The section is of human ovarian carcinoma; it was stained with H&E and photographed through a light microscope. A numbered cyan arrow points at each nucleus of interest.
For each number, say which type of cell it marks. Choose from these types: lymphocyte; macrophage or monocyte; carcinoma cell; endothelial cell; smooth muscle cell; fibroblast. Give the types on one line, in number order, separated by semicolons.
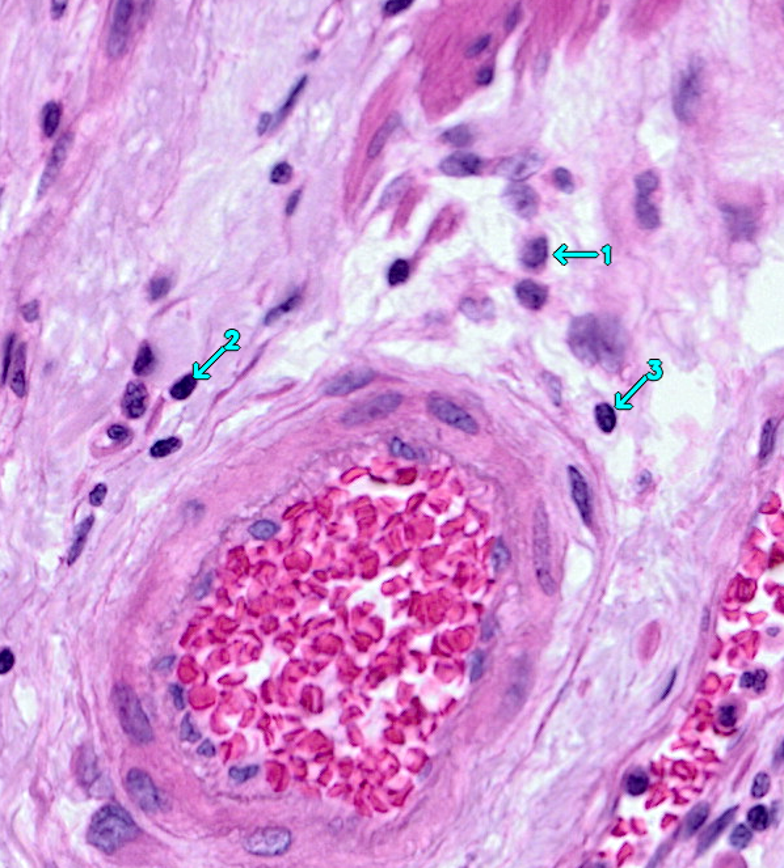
macrophage or monocyte; lymphocyte; lymphocyte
